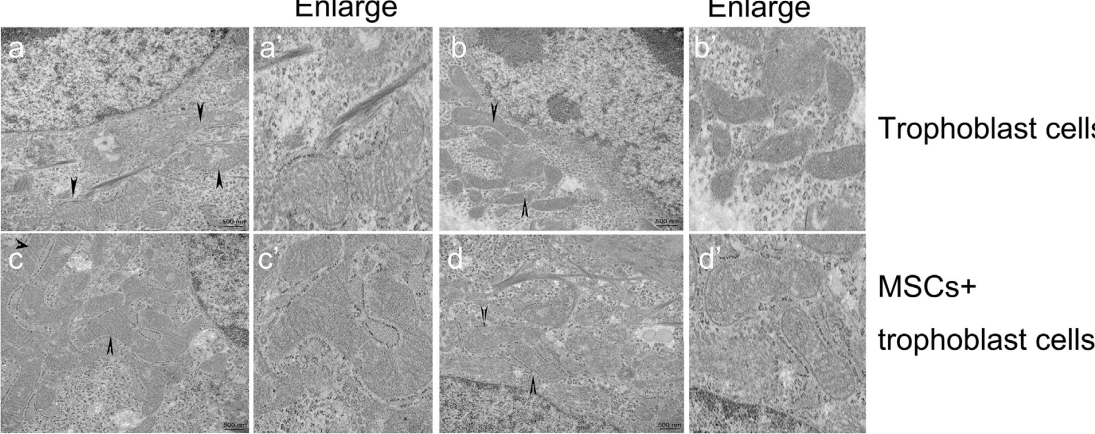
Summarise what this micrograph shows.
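In the overviews, part of a nucleus with finely granular chromatin borders the cytoplasm, which is packed with ribosome-like granules. The mitochondria are oval to elongated, bounded by a double membrane, and contain inner membrane folds, the cristae, running across the matrix. Bundles of fine filaments cross the cytoplasm in several fields.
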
